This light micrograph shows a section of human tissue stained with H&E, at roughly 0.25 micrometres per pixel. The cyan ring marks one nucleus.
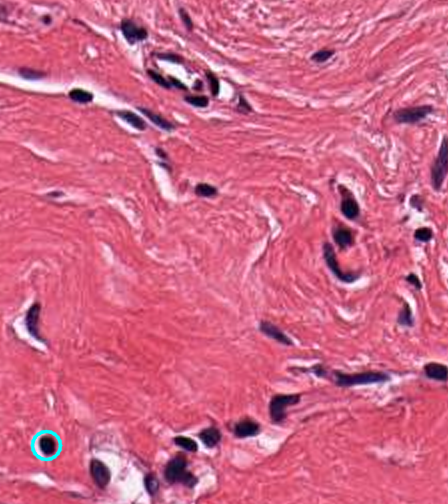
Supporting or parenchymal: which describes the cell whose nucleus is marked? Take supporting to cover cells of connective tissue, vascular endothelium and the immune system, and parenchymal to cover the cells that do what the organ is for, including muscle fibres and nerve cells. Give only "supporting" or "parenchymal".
supporting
